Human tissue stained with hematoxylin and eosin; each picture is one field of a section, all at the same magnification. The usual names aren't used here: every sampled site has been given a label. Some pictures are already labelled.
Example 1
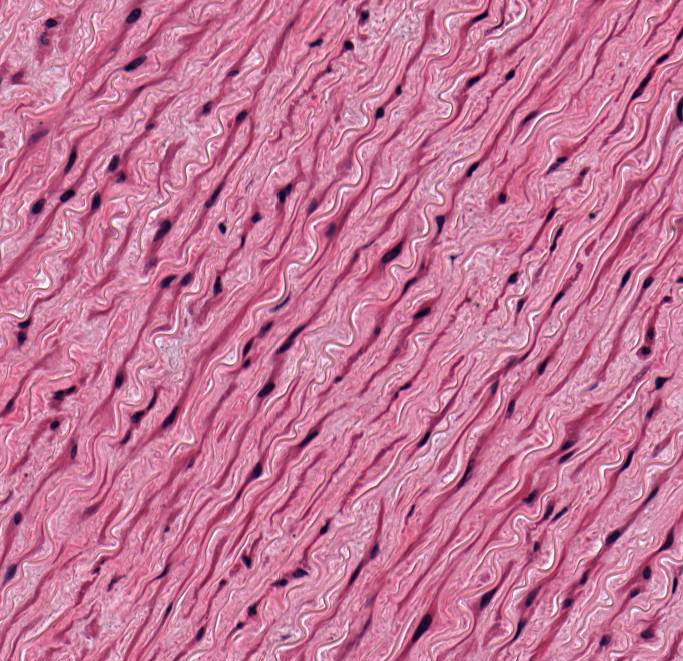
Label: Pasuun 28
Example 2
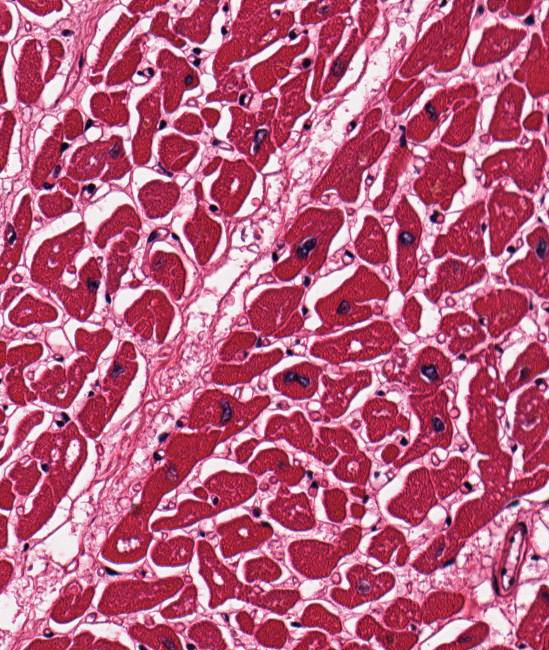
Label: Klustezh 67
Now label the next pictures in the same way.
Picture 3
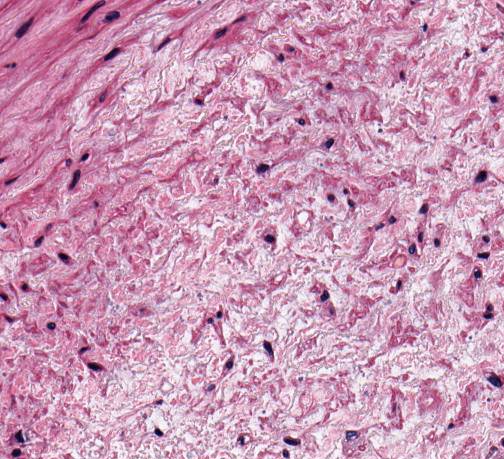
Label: Pasuun 28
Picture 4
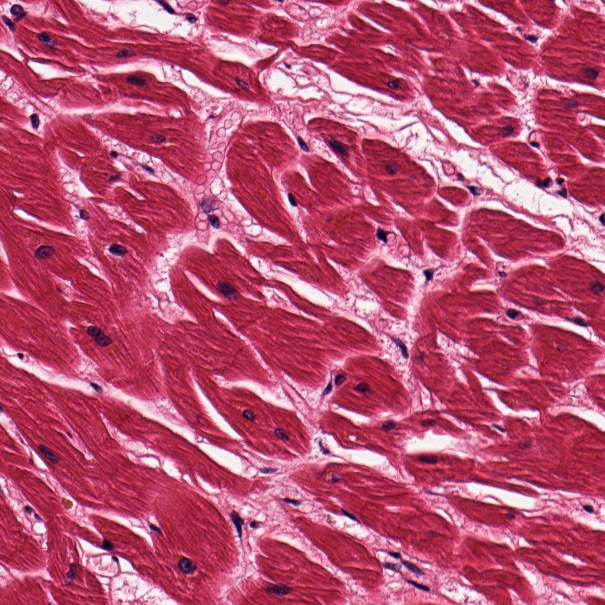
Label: Klustezh 67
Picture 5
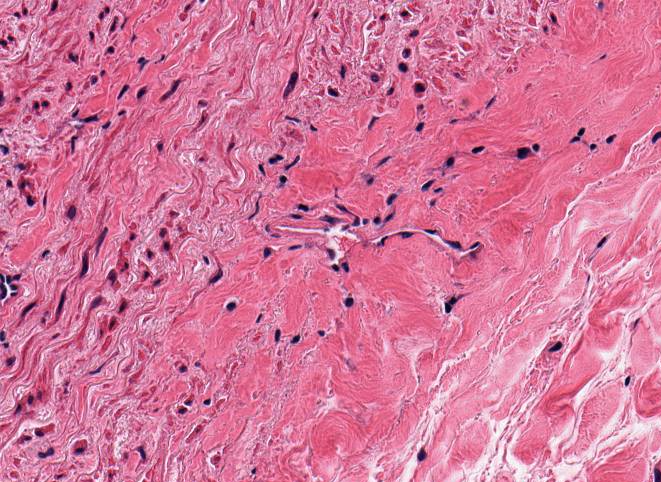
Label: Pasuun 28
